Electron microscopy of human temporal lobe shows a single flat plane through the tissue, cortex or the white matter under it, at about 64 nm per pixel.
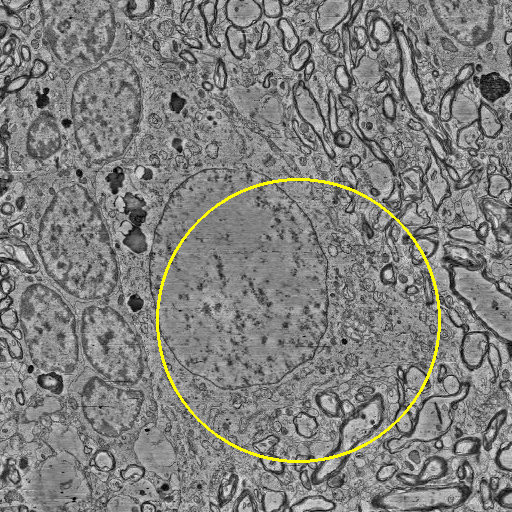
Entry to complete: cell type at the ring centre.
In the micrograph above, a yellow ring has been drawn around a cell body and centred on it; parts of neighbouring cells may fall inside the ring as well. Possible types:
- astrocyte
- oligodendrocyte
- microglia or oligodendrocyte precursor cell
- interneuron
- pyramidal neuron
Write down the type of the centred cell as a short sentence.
The ring is centred on a pyramidal neuron.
